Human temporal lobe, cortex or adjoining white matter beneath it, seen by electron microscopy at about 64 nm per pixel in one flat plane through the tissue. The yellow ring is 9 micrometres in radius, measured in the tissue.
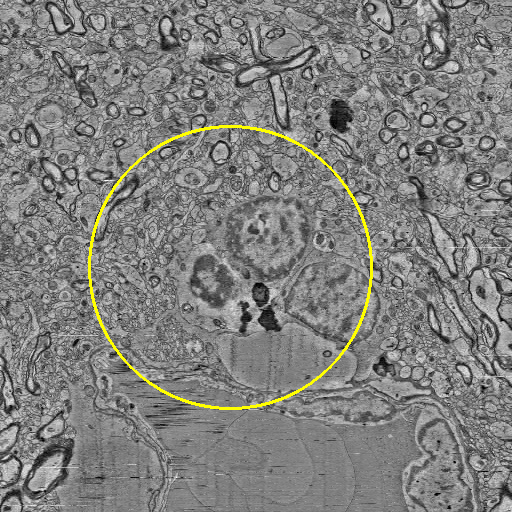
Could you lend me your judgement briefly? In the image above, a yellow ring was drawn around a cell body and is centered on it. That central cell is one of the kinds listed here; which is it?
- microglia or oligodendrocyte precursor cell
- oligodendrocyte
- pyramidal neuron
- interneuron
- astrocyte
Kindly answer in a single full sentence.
Going by the list, a microglial cell or oligodendrocyte precursor cell is the kind at the ring's center in the picture.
